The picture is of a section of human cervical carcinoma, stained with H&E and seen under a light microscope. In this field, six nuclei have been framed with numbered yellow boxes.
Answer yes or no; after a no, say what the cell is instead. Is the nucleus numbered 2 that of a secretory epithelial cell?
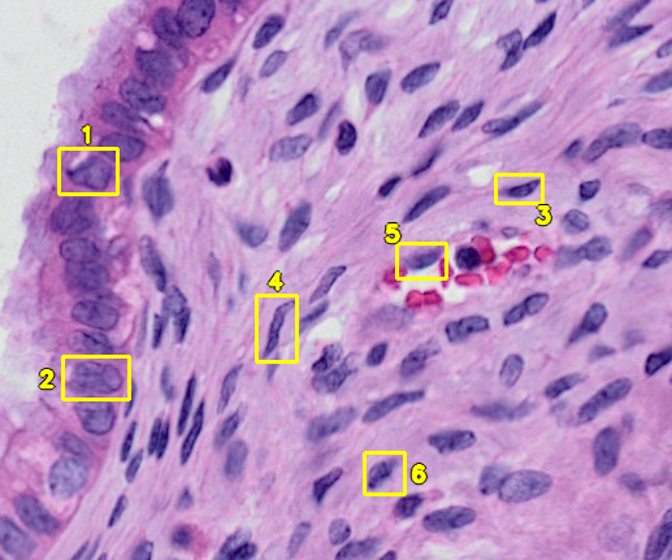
Yes.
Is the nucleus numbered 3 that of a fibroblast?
Yes.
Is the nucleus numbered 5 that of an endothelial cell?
Yes.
